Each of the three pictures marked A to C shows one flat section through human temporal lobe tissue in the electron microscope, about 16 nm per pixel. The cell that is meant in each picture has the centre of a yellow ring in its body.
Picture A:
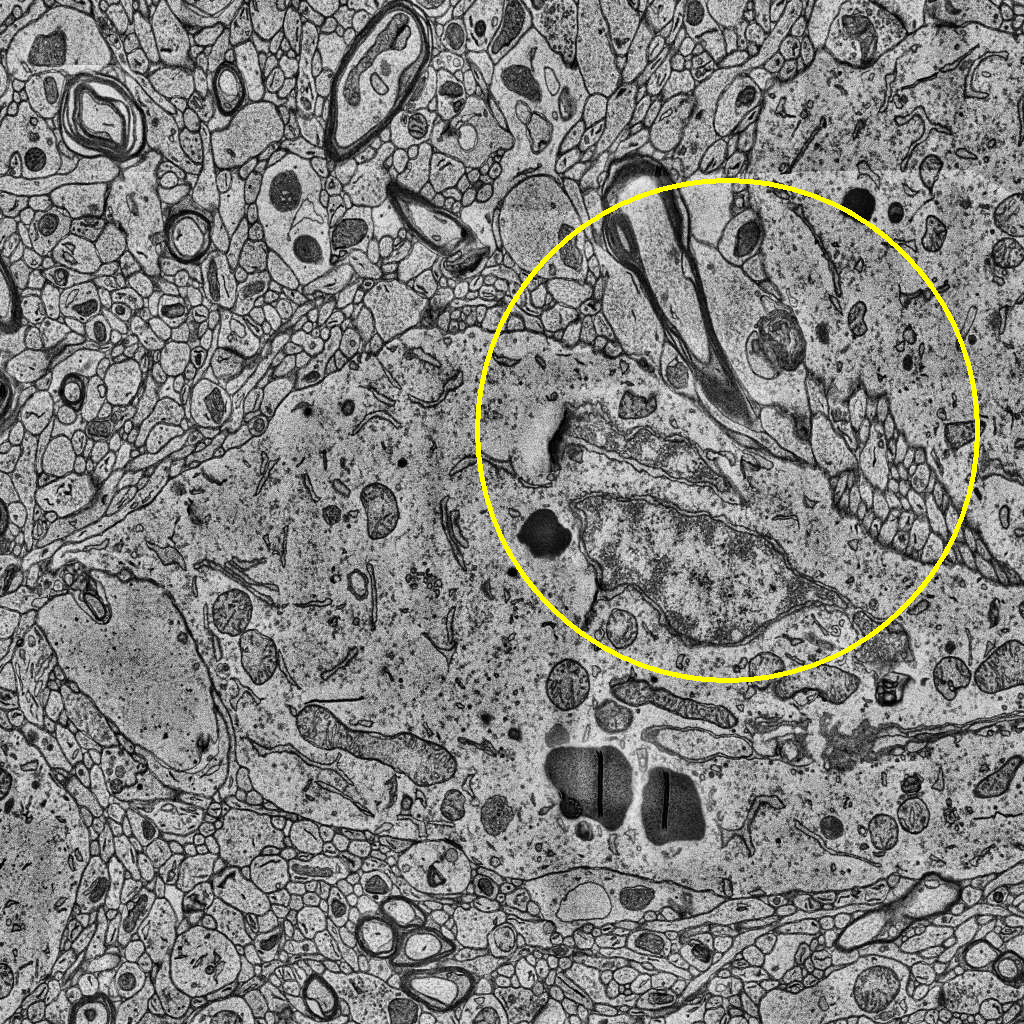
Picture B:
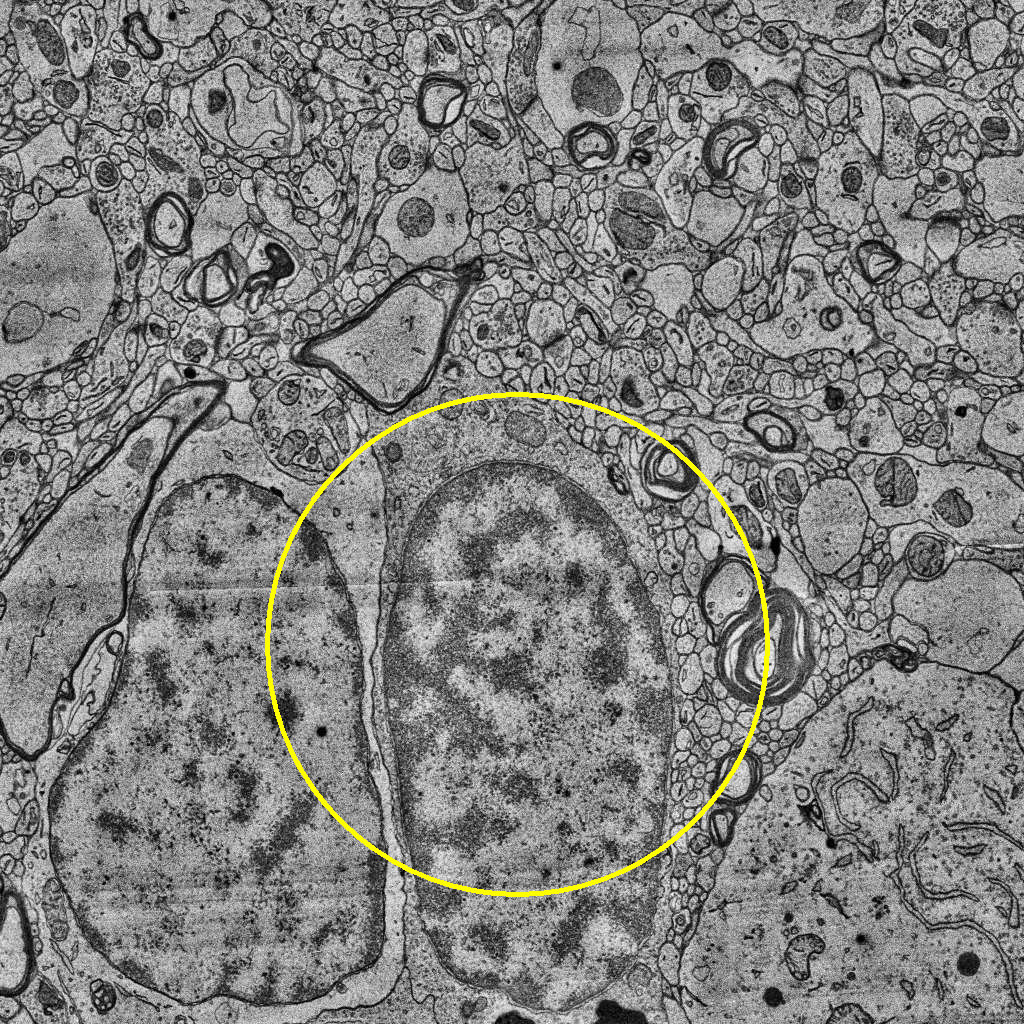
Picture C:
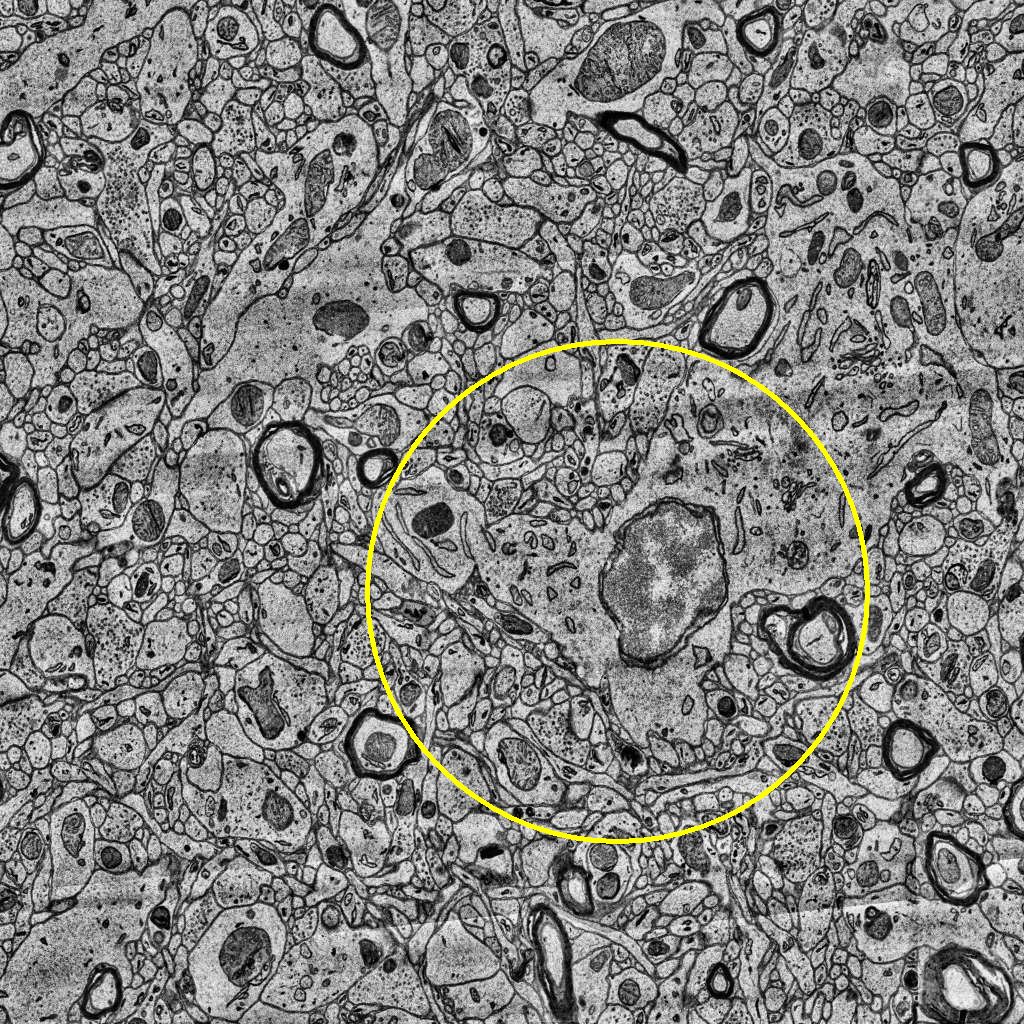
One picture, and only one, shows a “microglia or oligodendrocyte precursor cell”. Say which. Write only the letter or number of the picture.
C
